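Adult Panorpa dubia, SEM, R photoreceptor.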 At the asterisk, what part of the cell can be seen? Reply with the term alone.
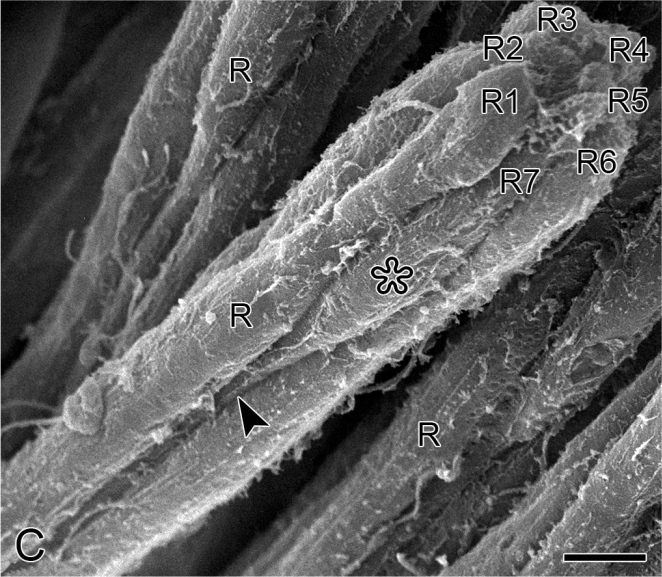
inflated nuclear zone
